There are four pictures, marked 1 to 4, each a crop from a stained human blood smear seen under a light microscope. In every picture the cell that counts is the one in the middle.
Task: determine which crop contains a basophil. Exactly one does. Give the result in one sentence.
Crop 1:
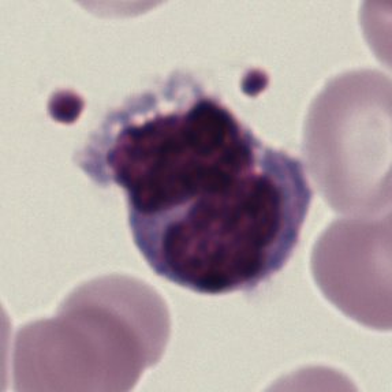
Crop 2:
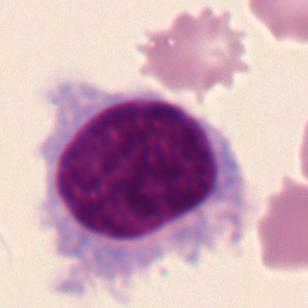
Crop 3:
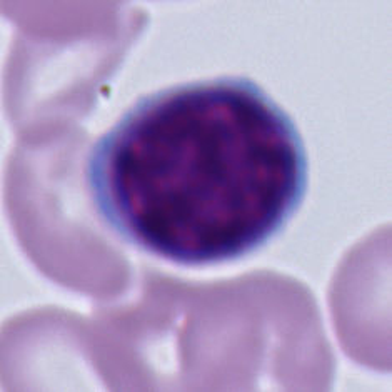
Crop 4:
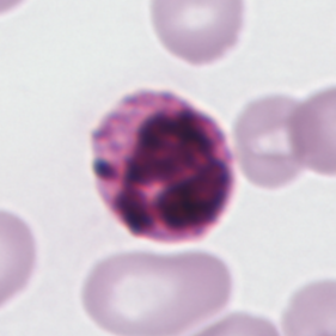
Crop 4 is where a basophil is to be found.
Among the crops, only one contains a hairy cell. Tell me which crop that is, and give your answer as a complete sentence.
Crop 2 is the single crop that shows a hairy cell.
